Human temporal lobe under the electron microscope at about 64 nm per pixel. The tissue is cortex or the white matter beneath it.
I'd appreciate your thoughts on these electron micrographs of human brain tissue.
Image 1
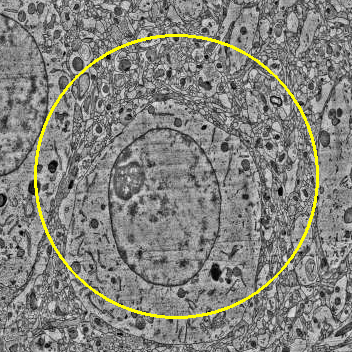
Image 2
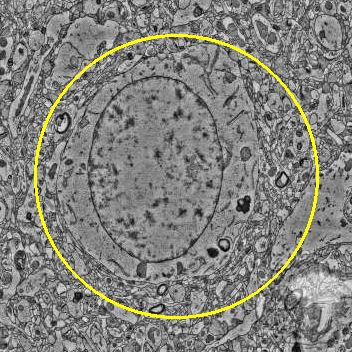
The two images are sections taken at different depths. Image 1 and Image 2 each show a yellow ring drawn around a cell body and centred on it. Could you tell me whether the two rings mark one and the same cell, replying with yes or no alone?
no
